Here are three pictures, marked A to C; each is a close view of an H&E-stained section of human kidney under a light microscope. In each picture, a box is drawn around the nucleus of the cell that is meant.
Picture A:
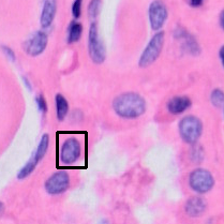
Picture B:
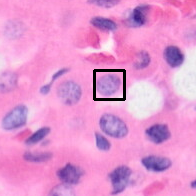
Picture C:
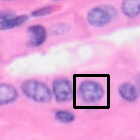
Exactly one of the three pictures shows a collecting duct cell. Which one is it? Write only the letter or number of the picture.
C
